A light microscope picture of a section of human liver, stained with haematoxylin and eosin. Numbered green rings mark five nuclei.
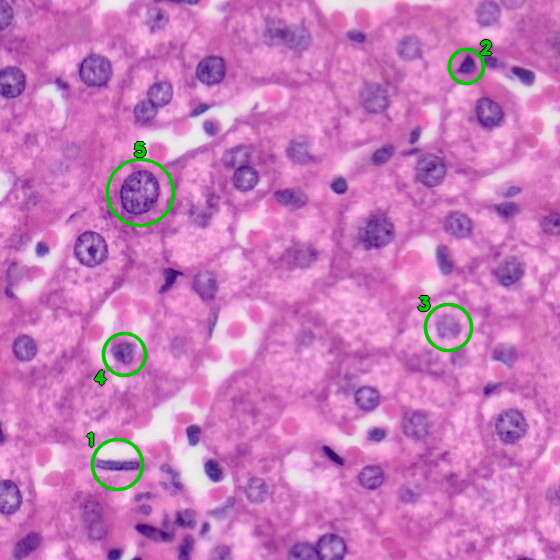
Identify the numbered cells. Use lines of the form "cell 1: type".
cell 1: Kupffer cell
cell 2: fibroblast or stellate cell
cell 3: hepatocyte
cell 4: Kupffer cell
cell 5: hepatocyte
